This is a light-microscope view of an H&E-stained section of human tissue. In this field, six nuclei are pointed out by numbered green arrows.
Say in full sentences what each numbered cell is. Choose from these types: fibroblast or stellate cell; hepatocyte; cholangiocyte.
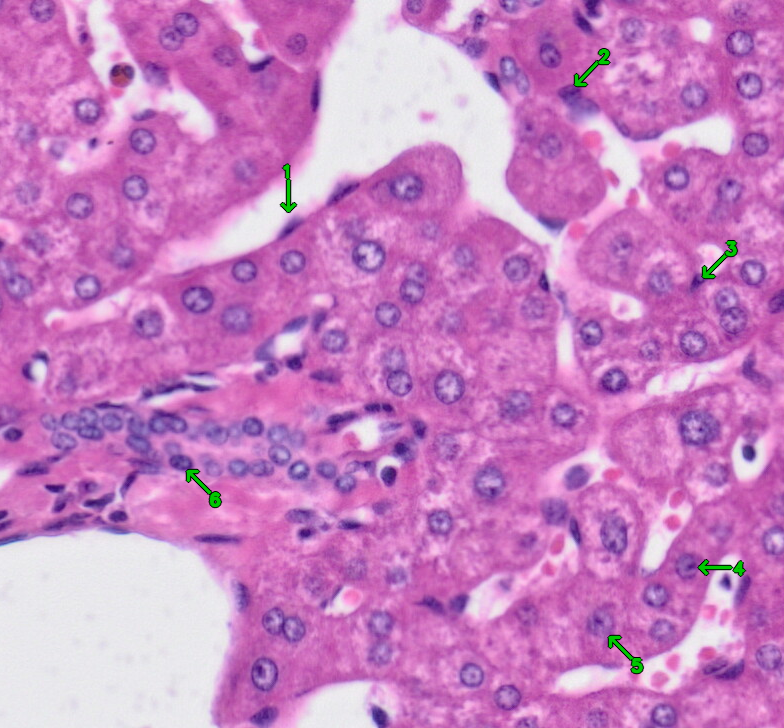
Cells 1, 2 and 3 are fibroblasts or stellate cells. Cells 4 and 5 are hepatocytes. Cell 6 is a cholangiocyte.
